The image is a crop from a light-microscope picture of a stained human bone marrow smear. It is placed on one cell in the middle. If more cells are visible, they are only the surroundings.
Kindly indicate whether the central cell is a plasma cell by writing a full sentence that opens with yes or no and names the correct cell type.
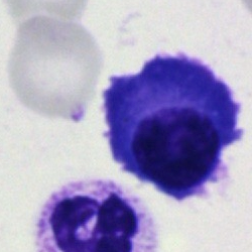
Yes, the cell in the centre is a plasma cell.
